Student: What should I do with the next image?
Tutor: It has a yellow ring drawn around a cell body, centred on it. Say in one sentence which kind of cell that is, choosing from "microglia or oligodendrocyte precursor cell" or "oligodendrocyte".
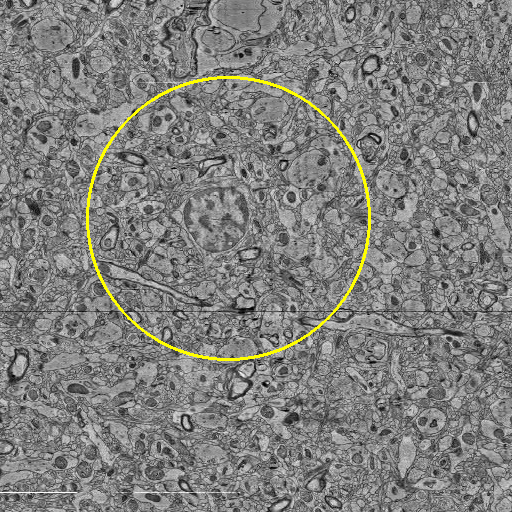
The ring's centre is occupied by a microglial cell or oligodendrocyte precursor cell.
